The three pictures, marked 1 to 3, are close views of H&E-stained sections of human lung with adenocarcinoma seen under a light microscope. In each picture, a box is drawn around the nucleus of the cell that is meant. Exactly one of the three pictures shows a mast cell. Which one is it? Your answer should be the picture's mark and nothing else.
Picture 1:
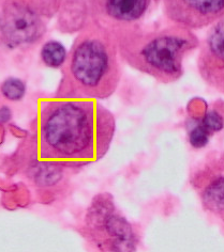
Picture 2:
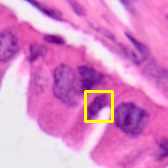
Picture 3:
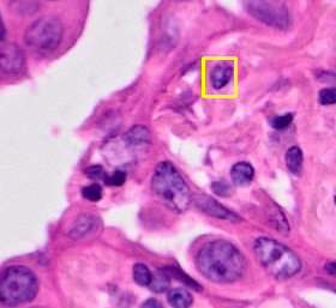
3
